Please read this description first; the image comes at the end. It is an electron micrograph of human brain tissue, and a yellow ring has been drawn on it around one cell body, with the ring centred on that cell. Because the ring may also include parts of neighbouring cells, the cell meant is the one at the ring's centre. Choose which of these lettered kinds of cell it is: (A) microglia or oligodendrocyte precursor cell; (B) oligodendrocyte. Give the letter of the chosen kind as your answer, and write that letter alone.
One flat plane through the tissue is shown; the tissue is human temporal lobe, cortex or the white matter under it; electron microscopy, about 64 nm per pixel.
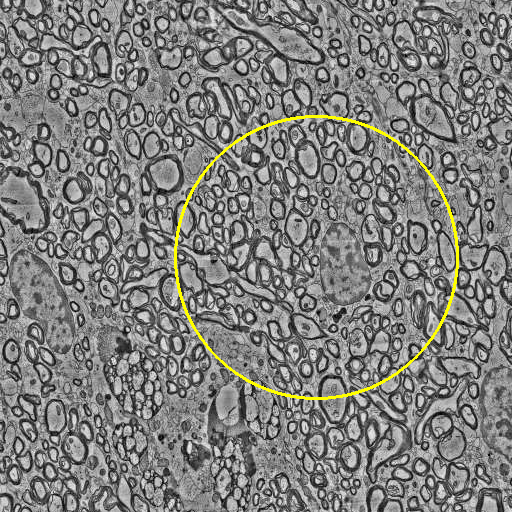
A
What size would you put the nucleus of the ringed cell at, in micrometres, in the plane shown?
About 5 by 3 micrometers for the nucleus, in this plane.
